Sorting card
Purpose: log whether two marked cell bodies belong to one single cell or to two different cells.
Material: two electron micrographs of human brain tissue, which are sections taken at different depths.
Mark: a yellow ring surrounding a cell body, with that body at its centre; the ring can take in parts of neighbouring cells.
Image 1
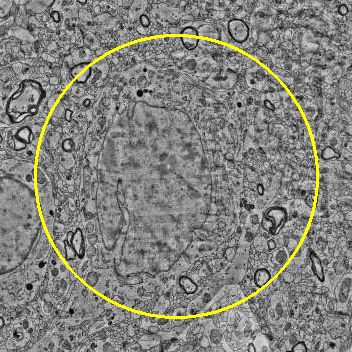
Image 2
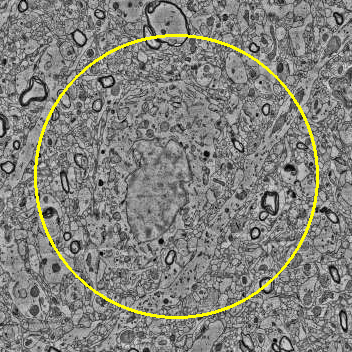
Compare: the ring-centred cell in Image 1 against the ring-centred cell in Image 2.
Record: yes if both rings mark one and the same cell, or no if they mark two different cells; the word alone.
yes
